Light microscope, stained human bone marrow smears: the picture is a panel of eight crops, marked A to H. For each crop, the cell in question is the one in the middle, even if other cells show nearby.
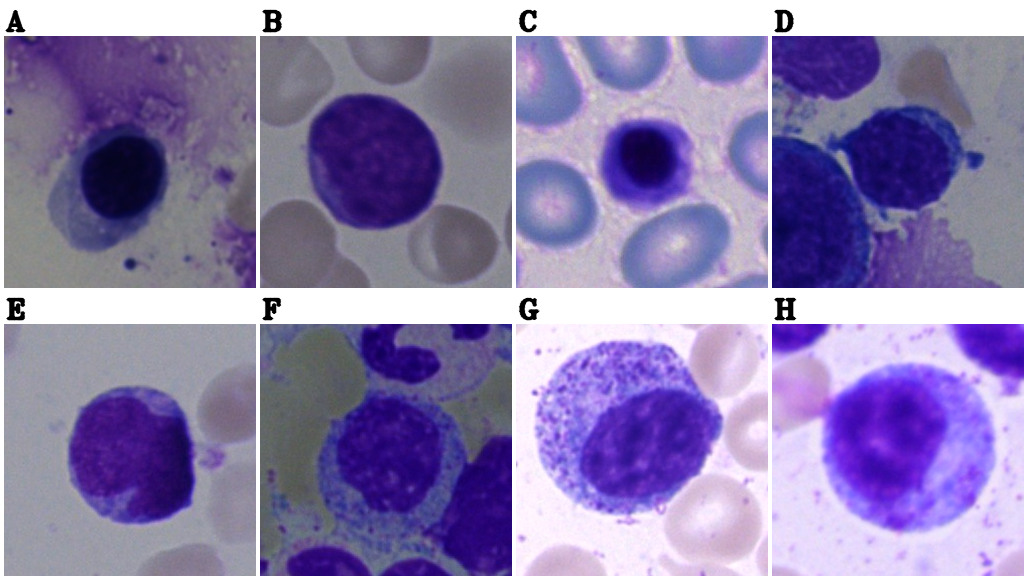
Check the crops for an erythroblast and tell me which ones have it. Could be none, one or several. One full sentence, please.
Crops A and C are identified as showing erythroblasts.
